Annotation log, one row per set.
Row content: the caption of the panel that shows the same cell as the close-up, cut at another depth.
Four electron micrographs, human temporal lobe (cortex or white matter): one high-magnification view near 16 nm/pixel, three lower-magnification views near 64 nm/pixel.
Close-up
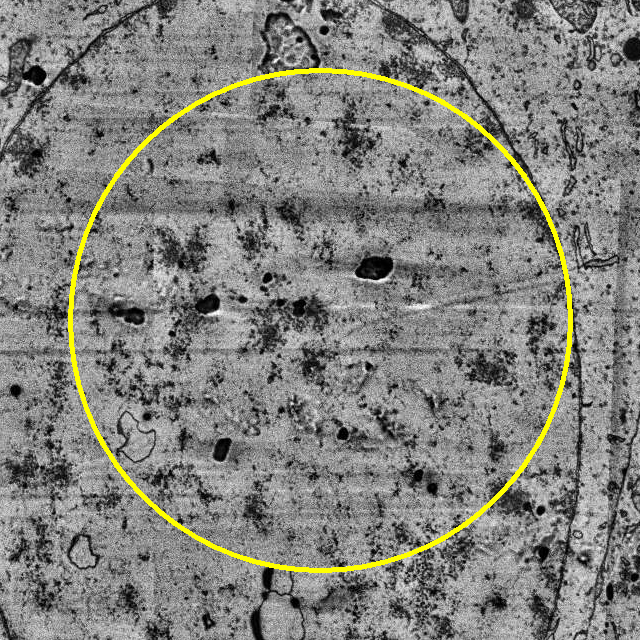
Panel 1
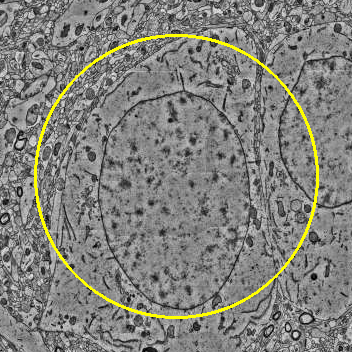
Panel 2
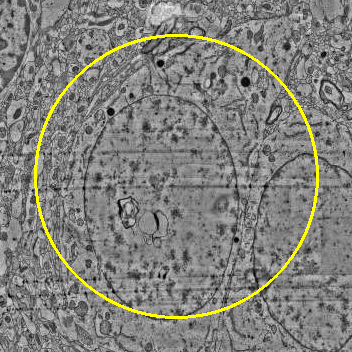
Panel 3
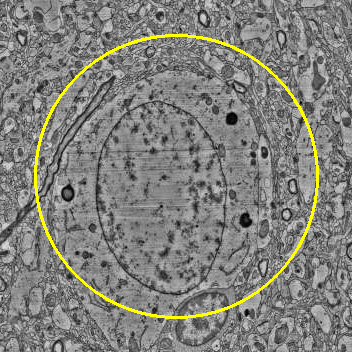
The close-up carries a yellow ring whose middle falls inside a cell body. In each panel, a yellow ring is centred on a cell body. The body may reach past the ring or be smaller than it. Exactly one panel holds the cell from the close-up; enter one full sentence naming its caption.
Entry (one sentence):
Enlarged in the close-up is the cell circled in Panel 2.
